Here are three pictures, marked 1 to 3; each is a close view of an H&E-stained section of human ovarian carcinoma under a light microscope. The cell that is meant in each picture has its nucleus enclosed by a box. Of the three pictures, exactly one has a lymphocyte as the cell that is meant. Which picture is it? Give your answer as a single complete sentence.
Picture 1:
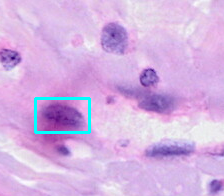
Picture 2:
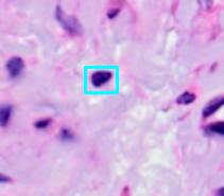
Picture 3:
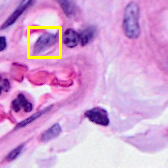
The picture with the lymphocyte is 2.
